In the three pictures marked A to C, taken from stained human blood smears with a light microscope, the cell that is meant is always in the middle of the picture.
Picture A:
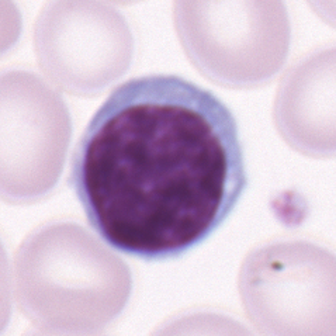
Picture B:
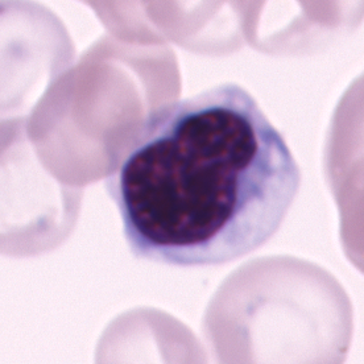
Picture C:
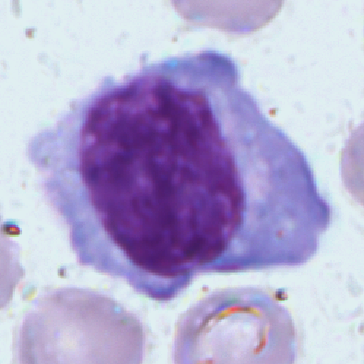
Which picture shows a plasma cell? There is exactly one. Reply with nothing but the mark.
C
